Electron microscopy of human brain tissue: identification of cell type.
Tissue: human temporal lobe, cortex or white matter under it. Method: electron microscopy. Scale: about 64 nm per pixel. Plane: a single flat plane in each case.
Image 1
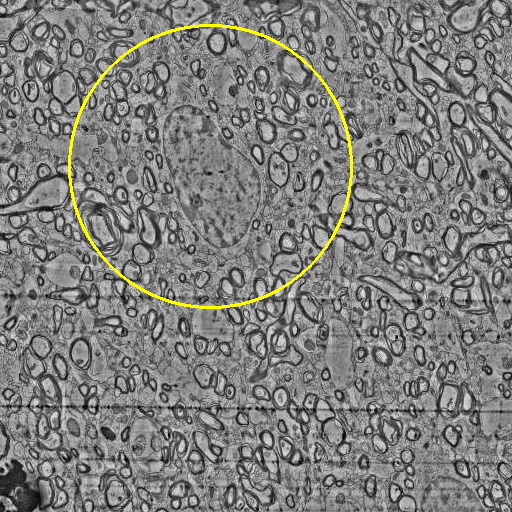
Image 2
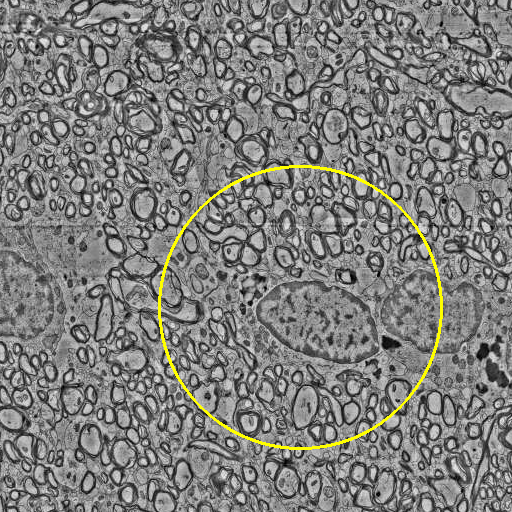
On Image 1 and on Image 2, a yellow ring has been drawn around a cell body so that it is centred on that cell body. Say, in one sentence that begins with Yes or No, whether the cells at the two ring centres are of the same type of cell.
Yes, both cells are the same type of cell.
